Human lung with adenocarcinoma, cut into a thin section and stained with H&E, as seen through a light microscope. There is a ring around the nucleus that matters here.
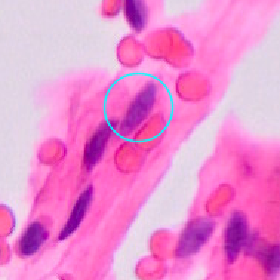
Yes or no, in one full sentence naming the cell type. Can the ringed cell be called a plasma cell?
No, the ringed cell isn't a plasma cell; it is a type I pneumocyte.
